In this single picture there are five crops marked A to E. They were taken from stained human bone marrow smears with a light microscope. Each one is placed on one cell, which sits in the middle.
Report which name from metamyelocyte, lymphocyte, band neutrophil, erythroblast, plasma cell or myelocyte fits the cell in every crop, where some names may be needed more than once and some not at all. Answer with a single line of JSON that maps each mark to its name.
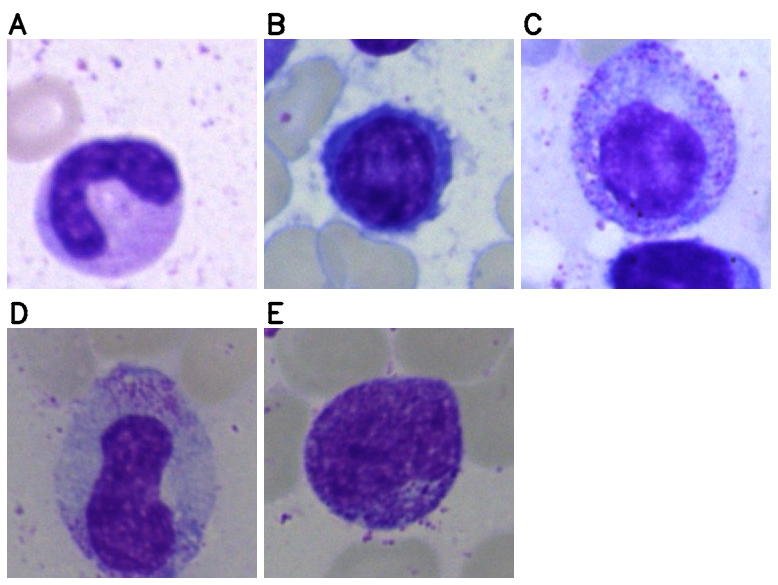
{"A": "band neutrophil", "B": "lymphocyte", "C": "myelocyte", "D": "band neutrophil", "E": "myelocyte"}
